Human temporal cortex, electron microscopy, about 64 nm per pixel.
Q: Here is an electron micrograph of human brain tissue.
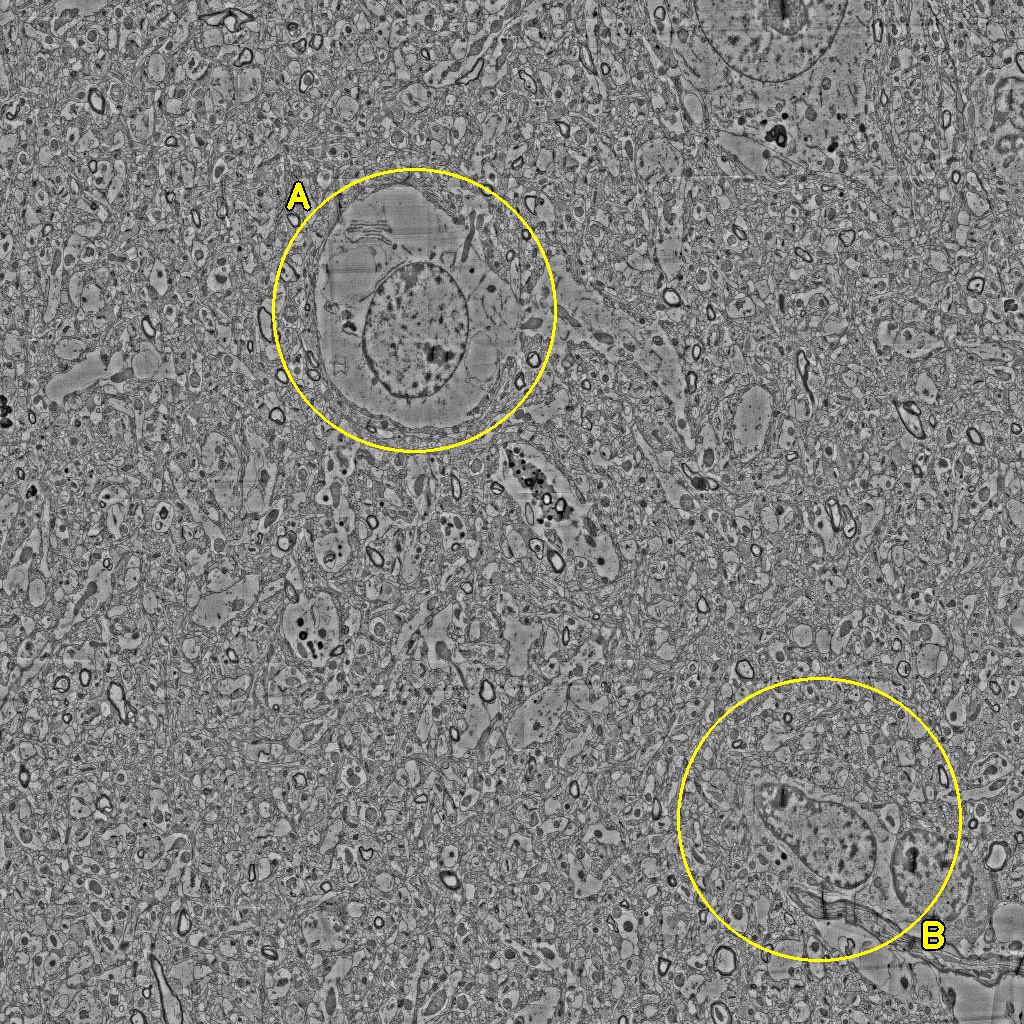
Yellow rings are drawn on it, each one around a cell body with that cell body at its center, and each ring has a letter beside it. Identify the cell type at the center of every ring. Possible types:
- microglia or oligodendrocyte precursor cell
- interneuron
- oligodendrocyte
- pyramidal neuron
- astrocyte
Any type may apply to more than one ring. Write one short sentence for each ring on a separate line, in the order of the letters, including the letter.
Centered in ring A is an astrocyte.
Centered in ring B is a microglial cell or oligodendrocyte precursor cell.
